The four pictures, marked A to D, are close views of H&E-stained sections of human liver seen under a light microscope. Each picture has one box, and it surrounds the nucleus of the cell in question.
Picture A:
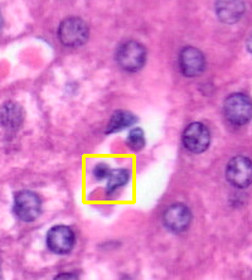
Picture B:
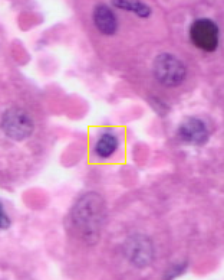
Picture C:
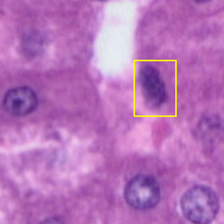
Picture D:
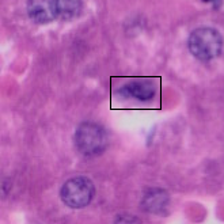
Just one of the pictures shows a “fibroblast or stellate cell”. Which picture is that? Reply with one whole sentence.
The cell in picture C is the “fibroblast or stellate cell”.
